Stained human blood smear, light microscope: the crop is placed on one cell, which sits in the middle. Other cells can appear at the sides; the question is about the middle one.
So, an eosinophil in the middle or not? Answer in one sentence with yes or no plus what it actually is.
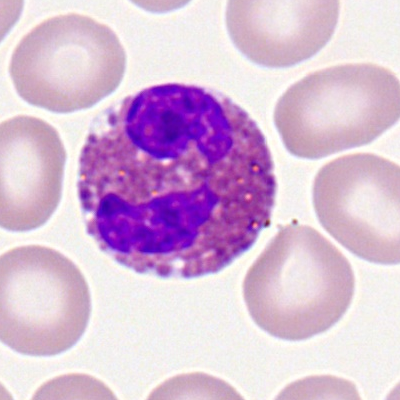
Yes, the cell placed centrally within the crop is an eosinophil.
